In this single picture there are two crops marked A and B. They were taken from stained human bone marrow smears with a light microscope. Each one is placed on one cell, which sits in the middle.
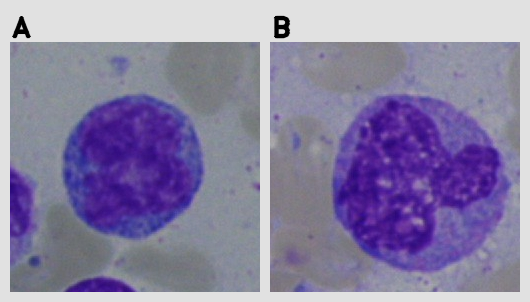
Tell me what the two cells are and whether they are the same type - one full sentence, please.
Yes, the first and the second crop both show monocytes.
